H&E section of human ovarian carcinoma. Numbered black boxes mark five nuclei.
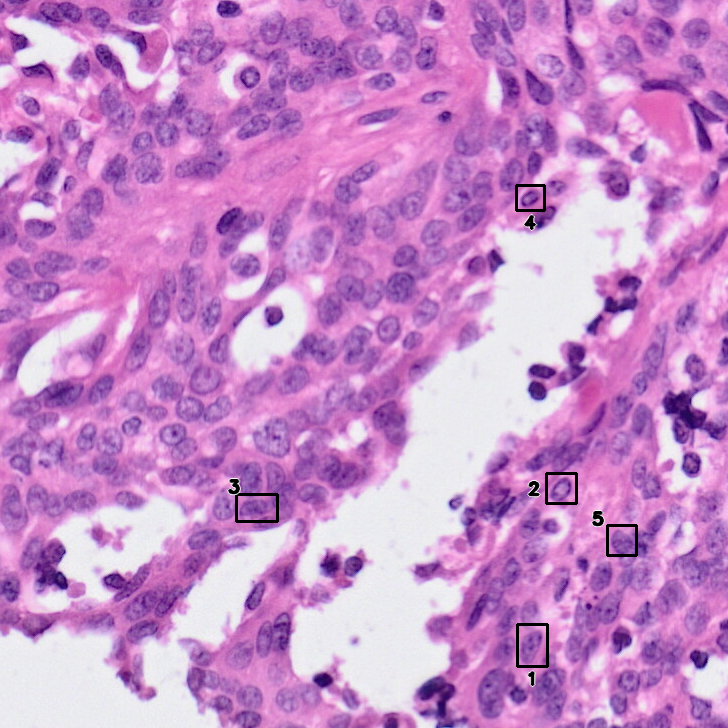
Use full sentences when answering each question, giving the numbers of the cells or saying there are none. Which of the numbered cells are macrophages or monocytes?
By cell type, the cells numbered 1, 2 and 4 are macrophages or monocytes.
